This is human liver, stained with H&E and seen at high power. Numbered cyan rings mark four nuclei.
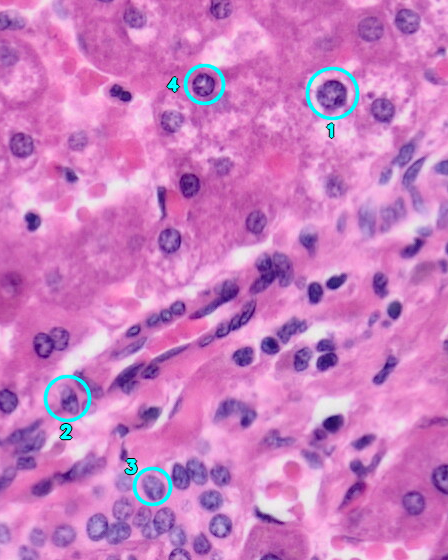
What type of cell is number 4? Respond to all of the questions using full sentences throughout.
Recognised here as a hepatocyte is the cell numbered 4.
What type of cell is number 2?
Regarding cell 2, this one is a fibroblast or stellate cell.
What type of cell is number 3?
The cell referred to as 3 is a cholangiocyte.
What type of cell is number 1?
Number 1 among the marked cells is a hepatocyte.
